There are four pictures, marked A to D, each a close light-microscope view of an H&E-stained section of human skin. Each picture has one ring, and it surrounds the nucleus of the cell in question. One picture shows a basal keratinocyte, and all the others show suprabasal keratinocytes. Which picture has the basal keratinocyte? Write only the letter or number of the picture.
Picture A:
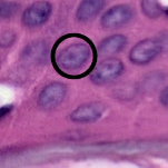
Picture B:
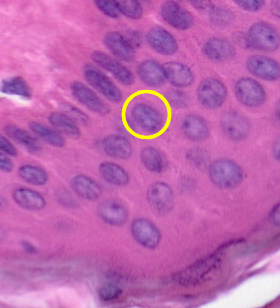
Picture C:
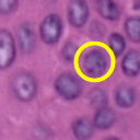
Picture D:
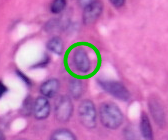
D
